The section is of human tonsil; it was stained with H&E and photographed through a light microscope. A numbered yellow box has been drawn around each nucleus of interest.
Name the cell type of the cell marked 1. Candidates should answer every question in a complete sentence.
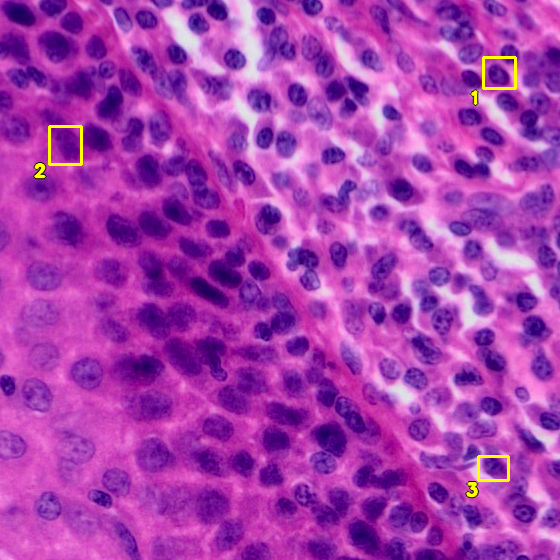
In this section, the cell tagged 1 is a plasma cell.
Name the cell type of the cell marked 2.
The cell marked with number 2 is a squamous epithelial cell.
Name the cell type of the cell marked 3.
To a plasma cell belongs the nucleus marked 3.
